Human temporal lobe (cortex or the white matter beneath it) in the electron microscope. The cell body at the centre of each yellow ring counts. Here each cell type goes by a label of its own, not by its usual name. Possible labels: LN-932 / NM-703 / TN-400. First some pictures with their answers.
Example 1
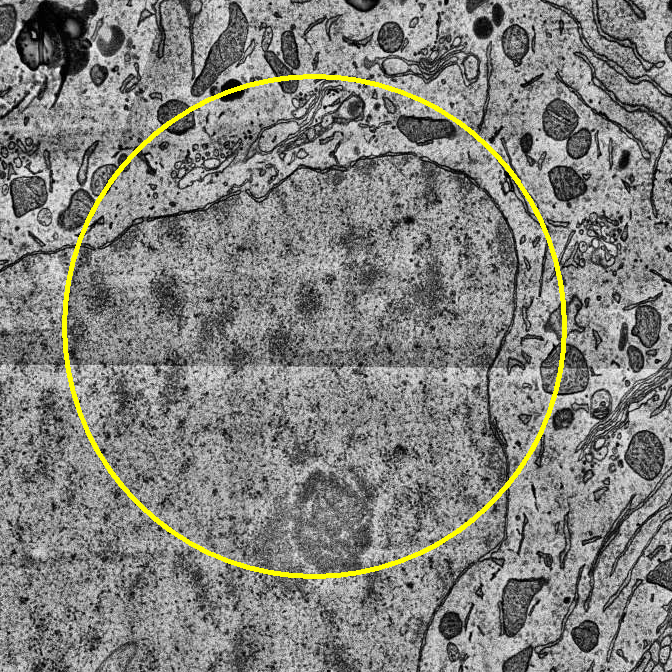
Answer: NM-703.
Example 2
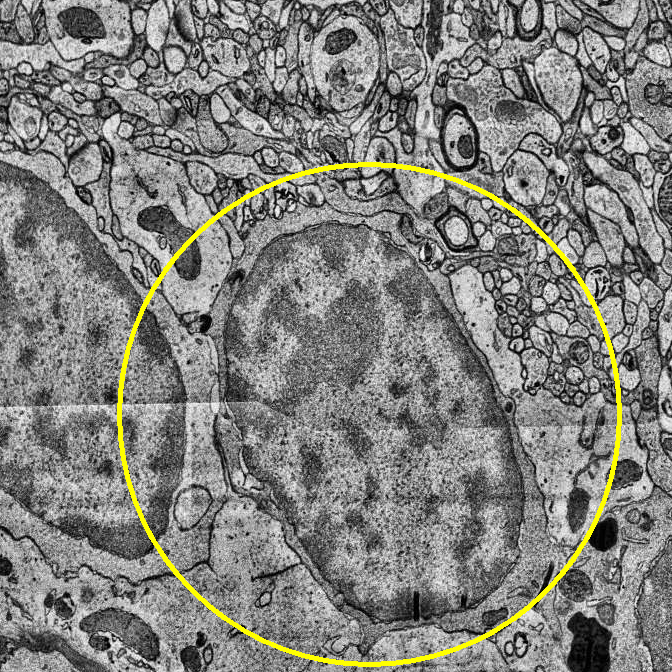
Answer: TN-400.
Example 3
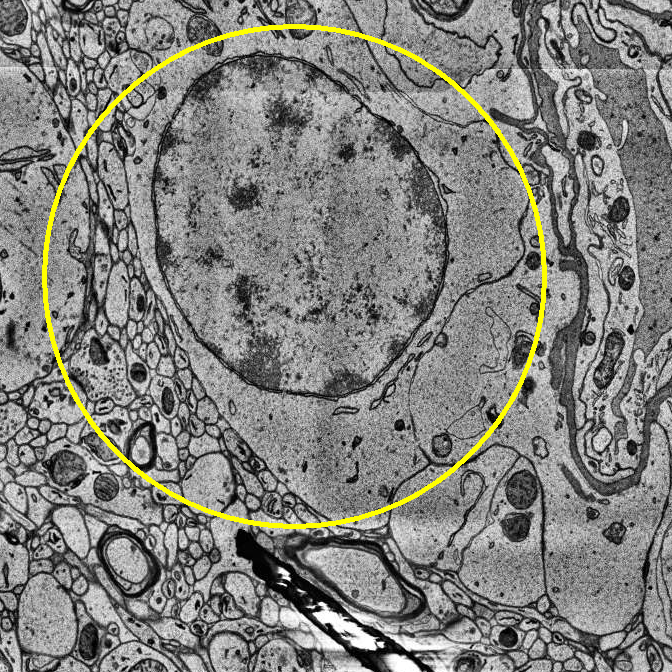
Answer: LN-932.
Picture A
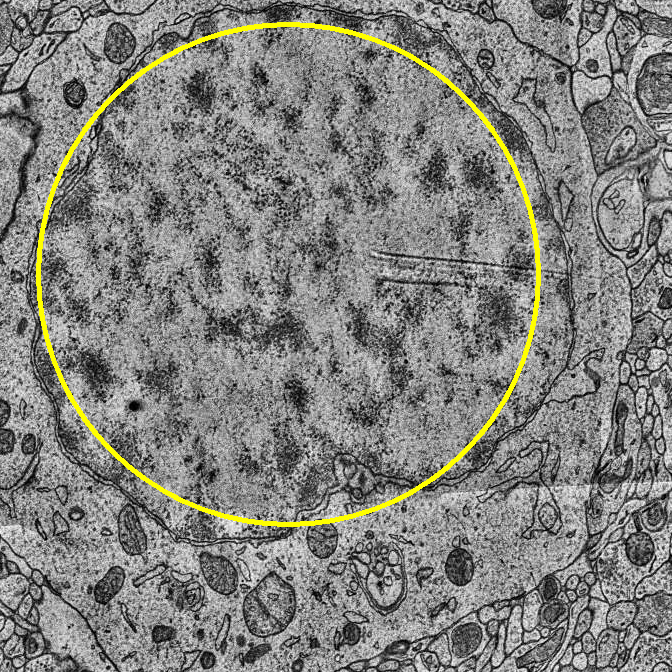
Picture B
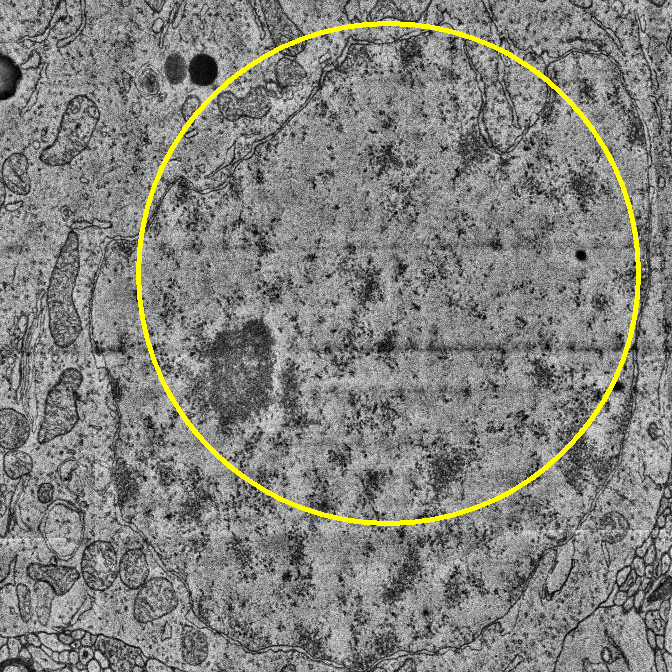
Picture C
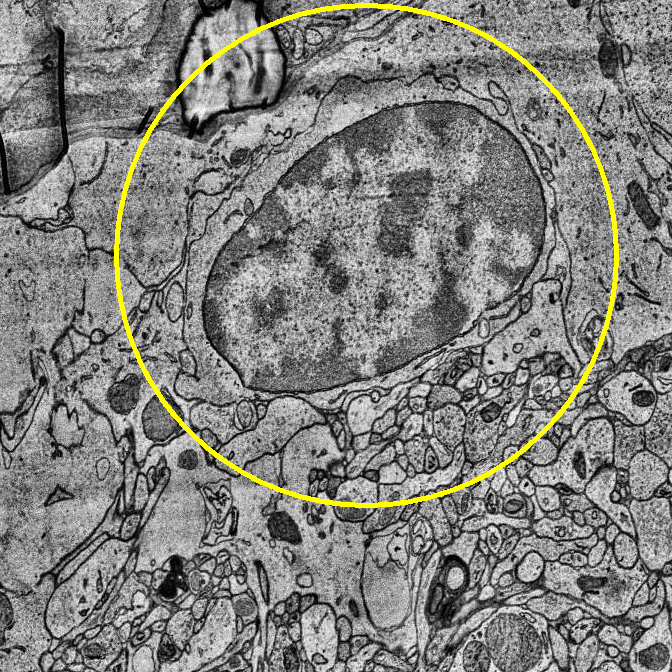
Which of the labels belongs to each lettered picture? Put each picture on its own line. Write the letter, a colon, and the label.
A: NM-703.
B: NM-703.
C: LN-932.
